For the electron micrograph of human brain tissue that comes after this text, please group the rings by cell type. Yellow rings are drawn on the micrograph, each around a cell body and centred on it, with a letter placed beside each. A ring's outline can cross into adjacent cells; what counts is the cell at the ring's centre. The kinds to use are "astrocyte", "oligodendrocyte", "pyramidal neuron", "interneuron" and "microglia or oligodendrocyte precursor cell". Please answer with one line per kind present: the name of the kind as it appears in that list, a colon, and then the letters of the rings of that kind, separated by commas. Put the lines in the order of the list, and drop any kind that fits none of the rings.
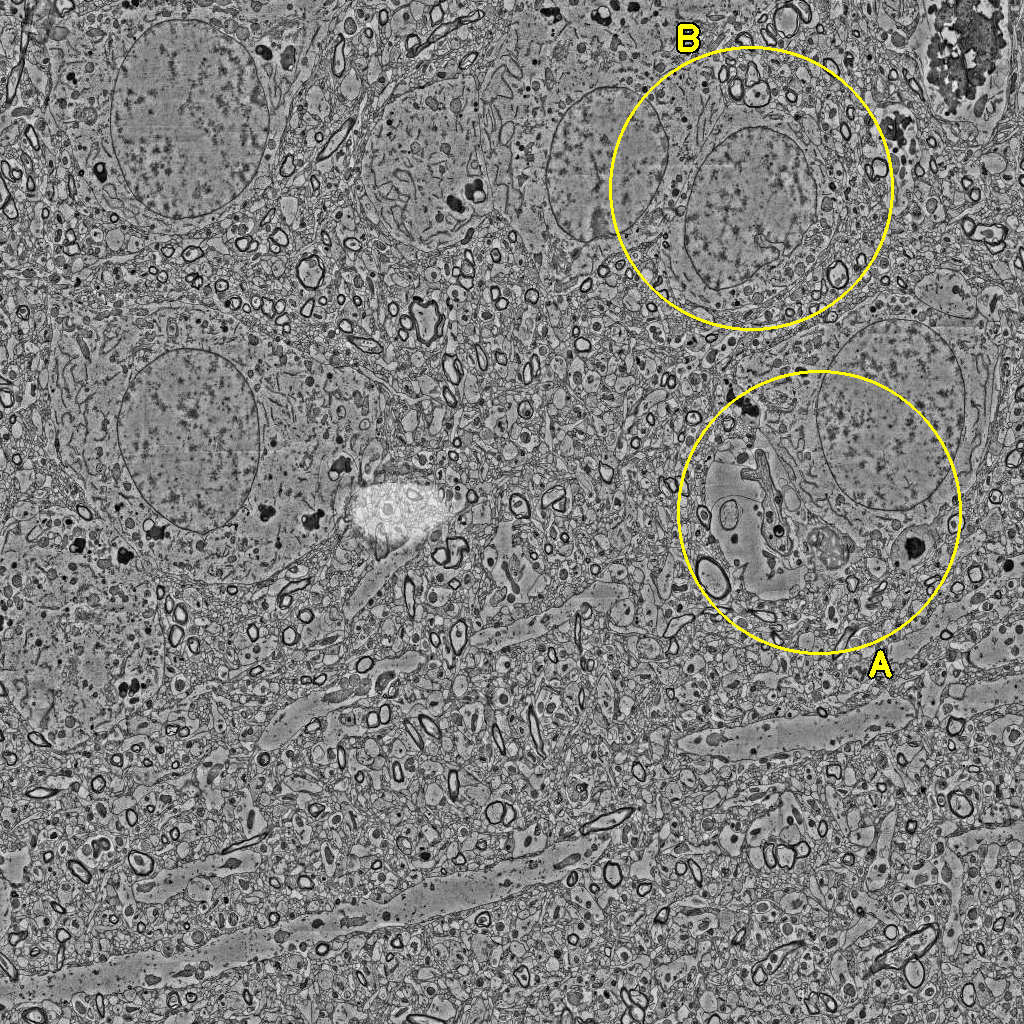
oligodendrocyte: A
pyramidal neuron: B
